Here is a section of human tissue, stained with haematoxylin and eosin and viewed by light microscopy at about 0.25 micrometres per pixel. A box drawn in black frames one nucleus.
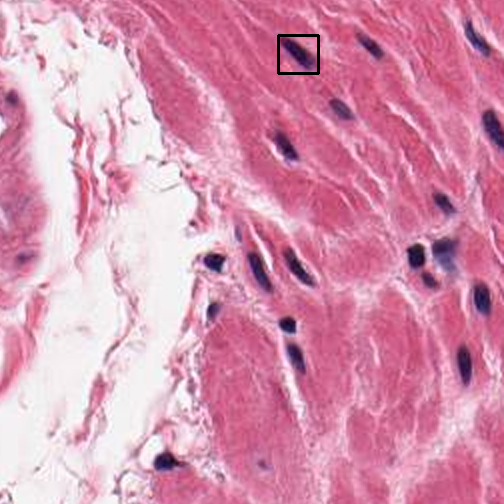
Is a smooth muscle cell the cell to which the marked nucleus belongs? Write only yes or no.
yes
